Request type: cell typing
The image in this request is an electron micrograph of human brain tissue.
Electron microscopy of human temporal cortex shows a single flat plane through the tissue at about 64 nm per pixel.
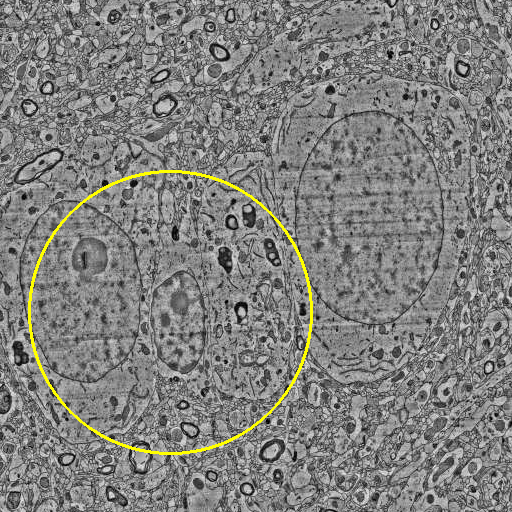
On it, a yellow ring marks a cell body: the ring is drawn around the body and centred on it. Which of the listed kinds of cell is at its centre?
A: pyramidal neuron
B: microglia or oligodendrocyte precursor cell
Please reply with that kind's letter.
B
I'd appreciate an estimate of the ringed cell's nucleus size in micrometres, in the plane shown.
The ringed cell's nucleus measures approximately 6 by 4 micrometres in this plane.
